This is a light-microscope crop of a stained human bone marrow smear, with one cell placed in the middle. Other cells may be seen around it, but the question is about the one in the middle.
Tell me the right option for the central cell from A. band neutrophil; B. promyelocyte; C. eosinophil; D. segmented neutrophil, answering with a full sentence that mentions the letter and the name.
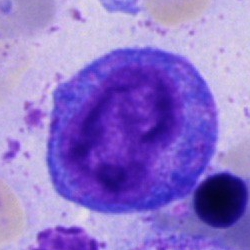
The correct option, B, names the middle cell as a promyelocyte.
